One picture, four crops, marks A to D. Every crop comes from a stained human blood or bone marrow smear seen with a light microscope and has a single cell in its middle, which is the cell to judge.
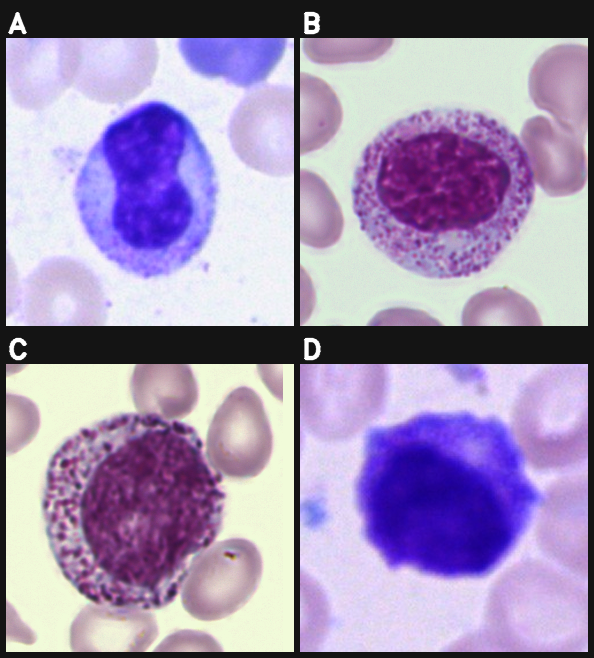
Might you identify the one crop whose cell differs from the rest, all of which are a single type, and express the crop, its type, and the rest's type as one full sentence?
Crop A is different, showing a metamyelocyte, whereas all the others show myelocytes.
